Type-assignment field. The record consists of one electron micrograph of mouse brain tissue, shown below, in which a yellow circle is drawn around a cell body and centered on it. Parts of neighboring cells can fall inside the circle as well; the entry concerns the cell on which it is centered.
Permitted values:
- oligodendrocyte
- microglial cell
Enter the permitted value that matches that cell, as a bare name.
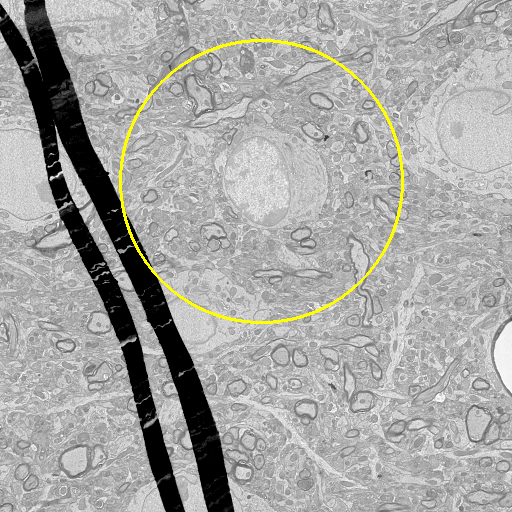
oligodendrocyte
